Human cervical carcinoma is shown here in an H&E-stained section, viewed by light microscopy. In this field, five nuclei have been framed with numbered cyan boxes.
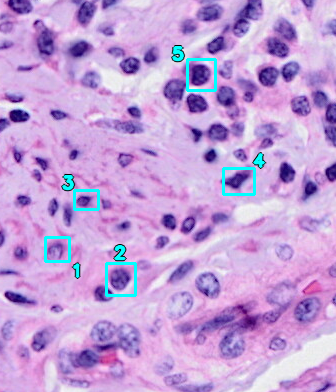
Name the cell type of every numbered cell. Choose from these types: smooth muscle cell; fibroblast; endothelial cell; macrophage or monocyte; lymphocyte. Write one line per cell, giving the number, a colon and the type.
1: smooth muscle cell
2: lymphocyte
3: smooth muscle cell
4: lymphocyte
5: lymphocyte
